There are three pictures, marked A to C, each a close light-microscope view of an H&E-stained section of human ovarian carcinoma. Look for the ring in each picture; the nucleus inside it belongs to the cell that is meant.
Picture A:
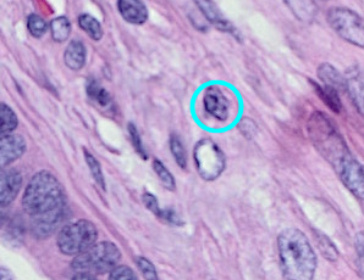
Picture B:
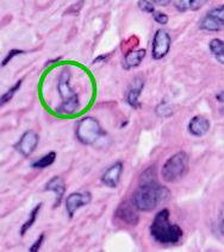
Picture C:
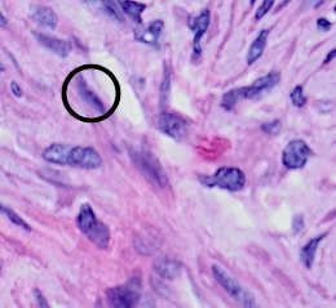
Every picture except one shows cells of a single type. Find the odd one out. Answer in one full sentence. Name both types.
Picture A is the odd one out: it shows a lymphocyte, while the others show fibroblasts.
